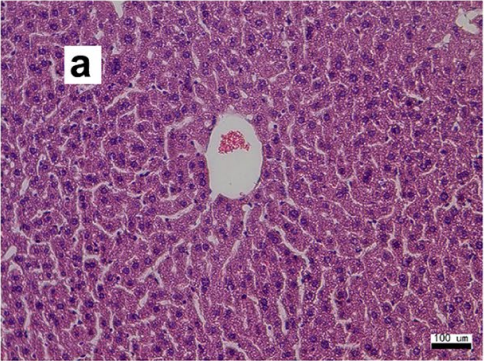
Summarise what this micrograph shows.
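This is liver tissue in which hepatocytes with pink granular cytoplasm and round, centrally placed purple nuclei form plates radiating from a central vessel containing some red blood cells. Narrow pale sinusoids separate the hepatocyte plates, and the lobular architecture appears orderly.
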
